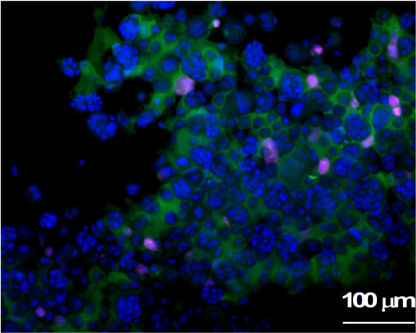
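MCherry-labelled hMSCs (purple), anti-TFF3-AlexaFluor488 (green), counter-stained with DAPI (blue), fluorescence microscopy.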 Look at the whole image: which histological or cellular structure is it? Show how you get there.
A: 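Many blue nuclei lie packed together in a large contiguous group. Green signal outlines adjoining cells across the group.
Conclusion: Cell clusters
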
